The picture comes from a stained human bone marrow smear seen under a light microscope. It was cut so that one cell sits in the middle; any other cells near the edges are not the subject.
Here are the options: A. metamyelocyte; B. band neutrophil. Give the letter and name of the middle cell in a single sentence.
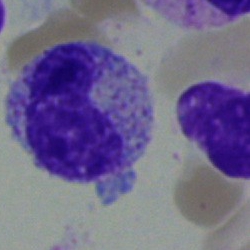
The correct option here is A; the middle cell is a metamyelocyte.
